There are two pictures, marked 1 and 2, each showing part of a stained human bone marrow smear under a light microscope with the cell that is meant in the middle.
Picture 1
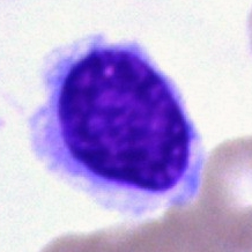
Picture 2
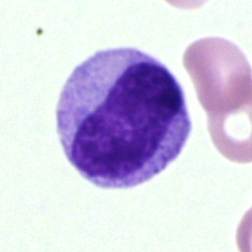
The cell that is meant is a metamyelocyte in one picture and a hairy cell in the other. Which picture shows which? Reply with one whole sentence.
In picture 1 the cell is a hairy cell; in picture 2, a metamyelocyte.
